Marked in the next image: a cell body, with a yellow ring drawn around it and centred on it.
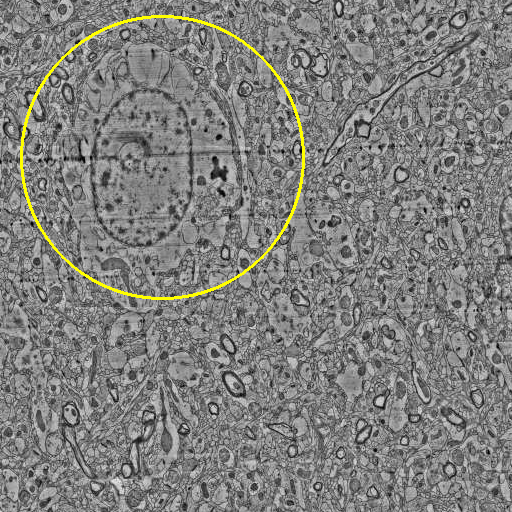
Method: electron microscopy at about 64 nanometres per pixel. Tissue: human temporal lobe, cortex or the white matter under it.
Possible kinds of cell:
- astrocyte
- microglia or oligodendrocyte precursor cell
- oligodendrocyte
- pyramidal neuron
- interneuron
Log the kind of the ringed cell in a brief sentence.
The ringed cell body is that of an astrocyte.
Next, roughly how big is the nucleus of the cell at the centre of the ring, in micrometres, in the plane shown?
The ringed cell's nucleus measures approximately 10 by 7 micrometres in this plane.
